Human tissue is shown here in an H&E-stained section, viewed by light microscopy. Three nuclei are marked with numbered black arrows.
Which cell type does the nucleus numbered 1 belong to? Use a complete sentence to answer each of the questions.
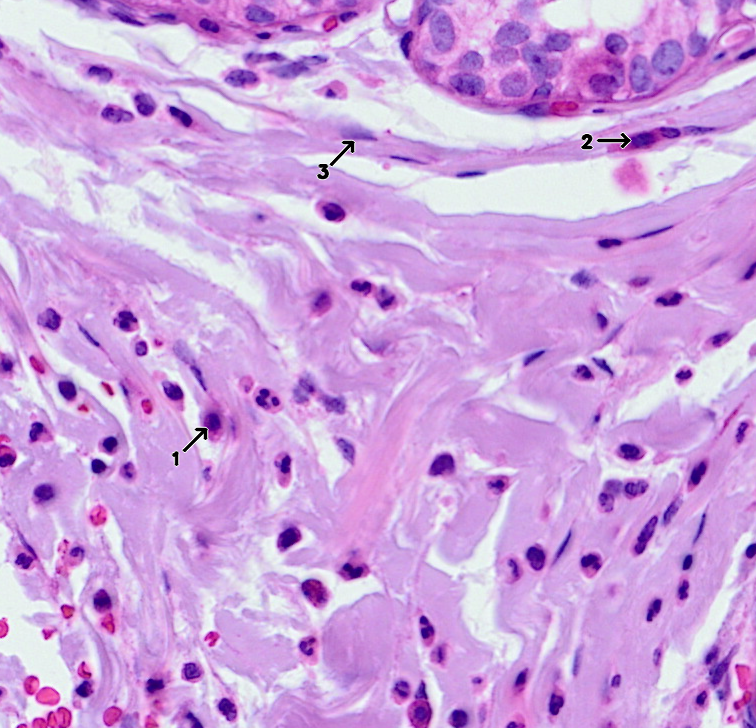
The cell that is numbered 1 is a mast cell.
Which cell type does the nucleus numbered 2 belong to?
Cell 2 in the field is a mast cell.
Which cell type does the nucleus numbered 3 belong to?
Here, the cell given the number 3 is a fibroblast.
